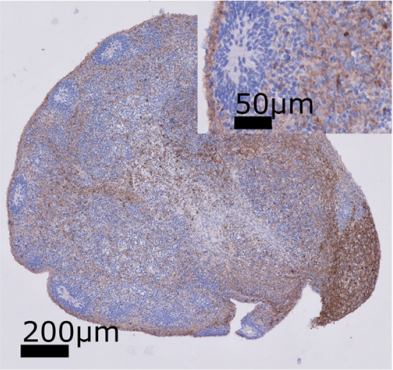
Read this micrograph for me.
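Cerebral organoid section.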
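A diffuse, finely granular brown stain spreads through much of the tissue and is strongest along one edge of the section. Several rounded rosette-like structures near the periphery consist of elongated nuclei arranged radially around a small center, and these are largely free of brown stain. The enlarged view shows such a radial arrangement of nuclei beside a zone where brown granular staining surrounds the cells. The outline of the section is irregular, with small lobes and indentations at its lower border.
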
